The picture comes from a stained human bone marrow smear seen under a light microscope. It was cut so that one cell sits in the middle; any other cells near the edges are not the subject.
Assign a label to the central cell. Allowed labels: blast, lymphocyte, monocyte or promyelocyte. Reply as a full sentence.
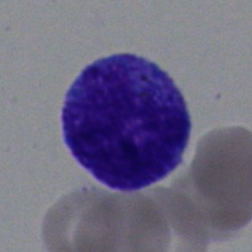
Here the cell in the middle is a monocyte.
